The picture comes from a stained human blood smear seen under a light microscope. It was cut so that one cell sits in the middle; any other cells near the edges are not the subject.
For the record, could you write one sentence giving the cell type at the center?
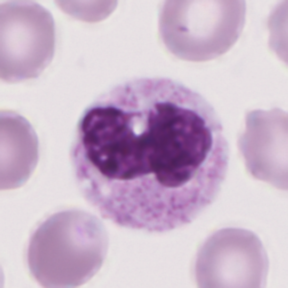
In the center of this field lies a band neutrophil.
